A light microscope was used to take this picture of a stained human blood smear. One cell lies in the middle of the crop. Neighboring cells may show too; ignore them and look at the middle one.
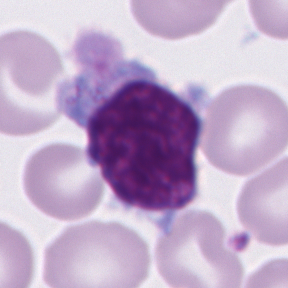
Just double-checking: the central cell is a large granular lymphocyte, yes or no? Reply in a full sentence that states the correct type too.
No, the cell at the centre is a typical lymphocyte, which rules out a large granular lymphocyte.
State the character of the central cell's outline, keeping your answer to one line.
It is the contour of the cell that is irregular, being ragged or projecting outward.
